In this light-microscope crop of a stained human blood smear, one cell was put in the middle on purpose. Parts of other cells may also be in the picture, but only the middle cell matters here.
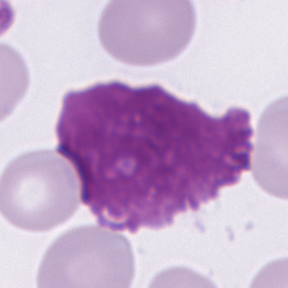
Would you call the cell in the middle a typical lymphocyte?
no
